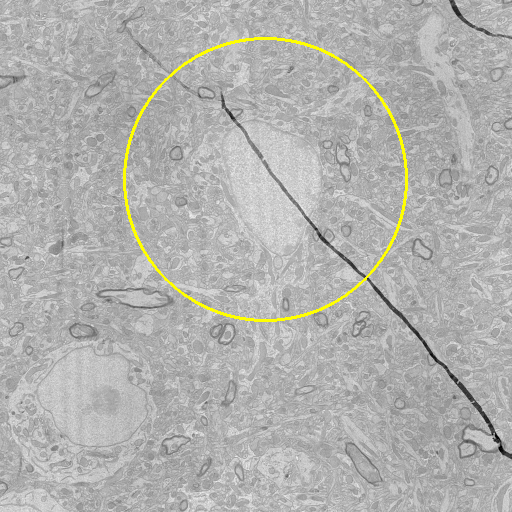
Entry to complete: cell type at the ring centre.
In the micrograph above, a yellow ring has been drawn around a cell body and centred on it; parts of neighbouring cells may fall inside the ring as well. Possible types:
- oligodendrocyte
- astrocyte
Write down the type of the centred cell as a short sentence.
The ring is centred on an astrocyte.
